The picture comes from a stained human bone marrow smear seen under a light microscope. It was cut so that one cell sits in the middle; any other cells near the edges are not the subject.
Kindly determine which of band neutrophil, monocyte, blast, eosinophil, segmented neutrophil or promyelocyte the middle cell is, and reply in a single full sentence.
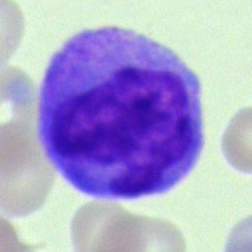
Present in the middle of the crop is a monocyte.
